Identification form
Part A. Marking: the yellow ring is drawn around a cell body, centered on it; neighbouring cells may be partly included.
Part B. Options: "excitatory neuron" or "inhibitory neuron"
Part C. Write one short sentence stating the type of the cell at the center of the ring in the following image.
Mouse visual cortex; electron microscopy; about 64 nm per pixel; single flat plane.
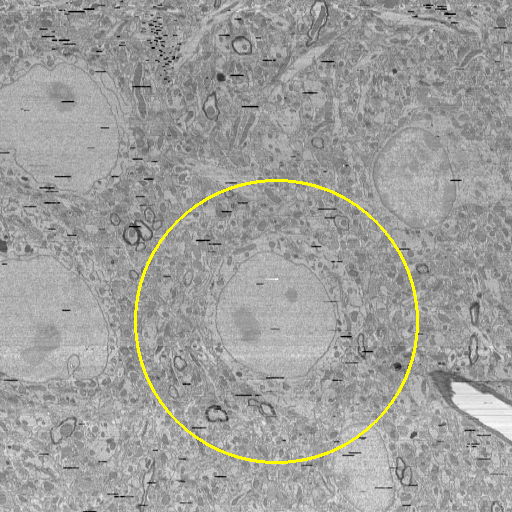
The center of the ring holds an excitatory neuron.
